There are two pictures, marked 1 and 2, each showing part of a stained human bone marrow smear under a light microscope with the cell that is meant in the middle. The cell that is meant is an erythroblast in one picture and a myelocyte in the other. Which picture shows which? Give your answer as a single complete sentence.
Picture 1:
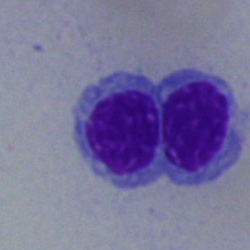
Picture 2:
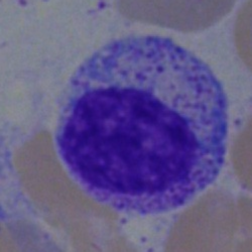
It is picture 1 that shows an erythroblast, and picture 2 that shows a myelocyte.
